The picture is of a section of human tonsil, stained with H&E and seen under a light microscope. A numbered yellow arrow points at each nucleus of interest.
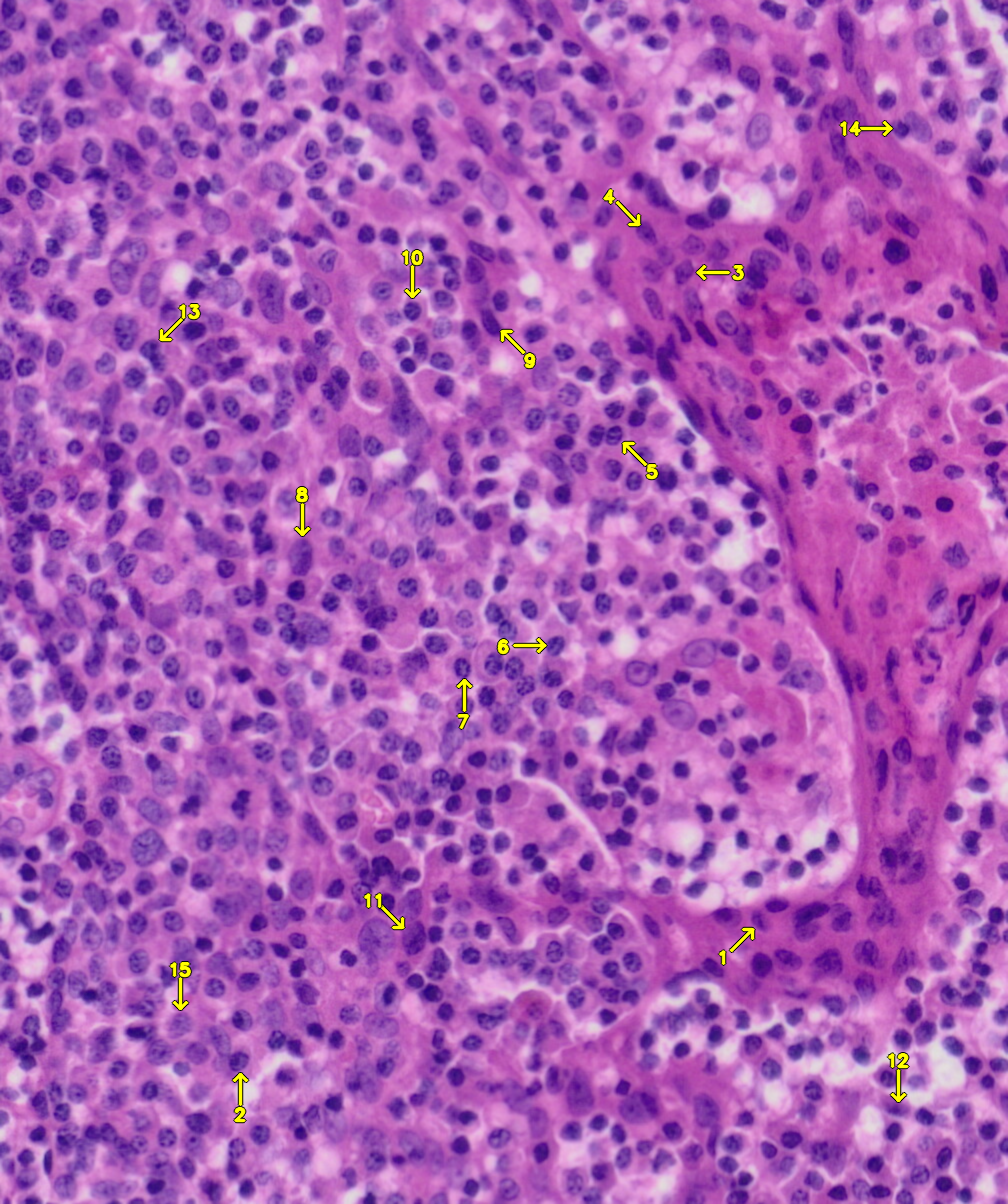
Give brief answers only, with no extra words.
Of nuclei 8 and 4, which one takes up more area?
8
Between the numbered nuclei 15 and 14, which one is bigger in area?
15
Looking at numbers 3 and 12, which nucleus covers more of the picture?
3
